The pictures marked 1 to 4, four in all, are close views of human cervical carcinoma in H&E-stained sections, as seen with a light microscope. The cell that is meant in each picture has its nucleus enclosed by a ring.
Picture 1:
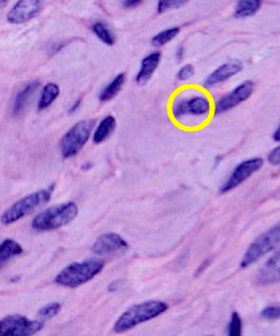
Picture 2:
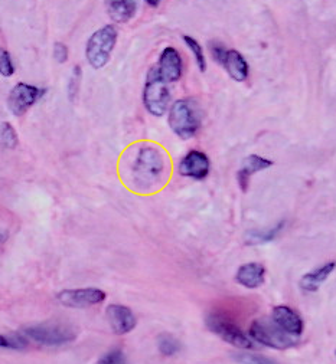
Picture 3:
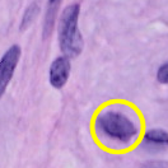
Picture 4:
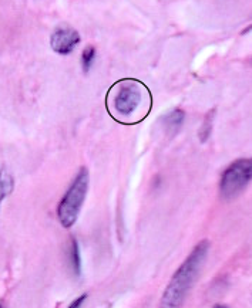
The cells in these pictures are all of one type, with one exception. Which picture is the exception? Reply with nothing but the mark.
2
